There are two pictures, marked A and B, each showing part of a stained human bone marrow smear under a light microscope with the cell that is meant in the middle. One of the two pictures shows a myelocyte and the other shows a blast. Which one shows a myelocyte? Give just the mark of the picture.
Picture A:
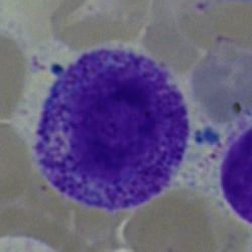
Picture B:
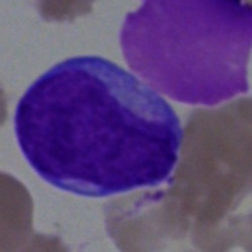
A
